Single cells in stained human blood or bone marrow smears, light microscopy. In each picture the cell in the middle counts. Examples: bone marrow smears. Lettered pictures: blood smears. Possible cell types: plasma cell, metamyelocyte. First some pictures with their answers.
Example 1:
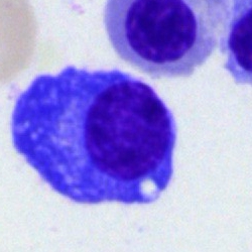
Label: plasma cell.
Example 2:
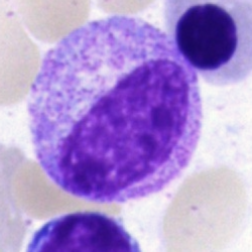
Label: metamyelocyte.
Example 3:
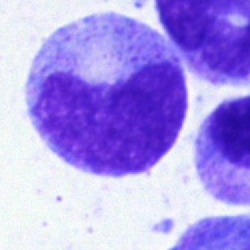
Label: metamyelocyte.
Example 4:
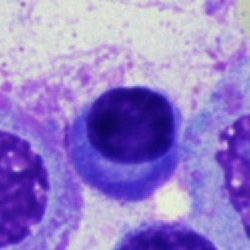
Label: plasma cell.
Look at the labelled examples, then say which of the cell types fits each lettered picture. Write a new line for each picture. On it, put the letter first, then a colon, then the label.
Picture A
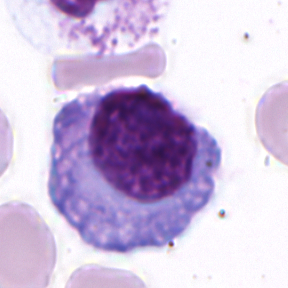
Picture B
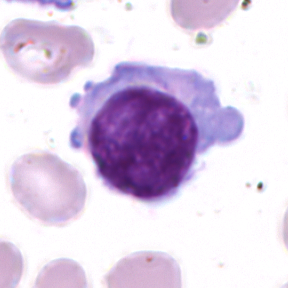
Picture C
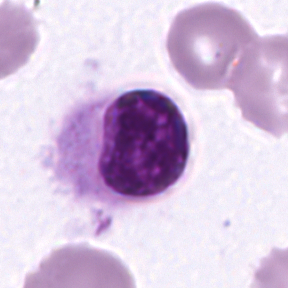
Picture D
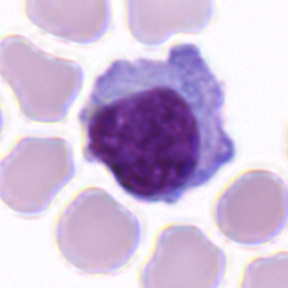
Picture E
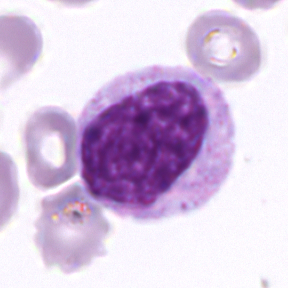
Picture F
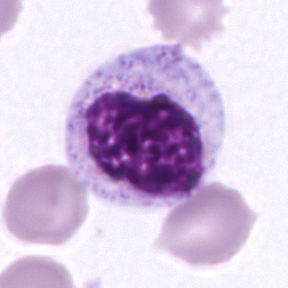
A: plasma cell.
B: plasma cell.
C: plasma cell.
D: plasma cell.
E: metamyelocyte.
F: metamyelocyte.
